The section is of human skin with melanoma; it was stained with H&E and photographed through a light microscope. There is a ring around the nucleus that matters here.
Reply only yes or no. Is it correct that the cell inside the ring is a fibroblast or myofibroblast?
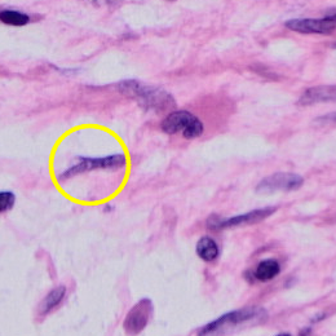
yes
